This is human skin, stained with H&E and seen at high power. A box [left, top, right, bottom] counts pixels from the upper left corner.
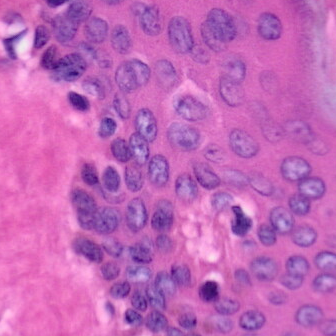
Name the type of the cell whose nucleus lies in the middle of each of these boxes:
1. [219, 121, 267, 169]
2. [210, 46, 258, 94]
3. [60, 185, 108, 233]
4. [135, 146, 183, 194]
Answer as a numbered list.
1. suprabasal keratinocyte
2. suprabasal keratinocyte
3. basal keratinocyte
4. suprabasal keratinocyte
